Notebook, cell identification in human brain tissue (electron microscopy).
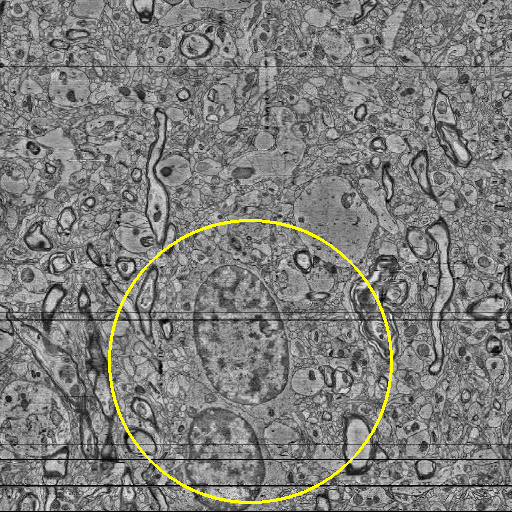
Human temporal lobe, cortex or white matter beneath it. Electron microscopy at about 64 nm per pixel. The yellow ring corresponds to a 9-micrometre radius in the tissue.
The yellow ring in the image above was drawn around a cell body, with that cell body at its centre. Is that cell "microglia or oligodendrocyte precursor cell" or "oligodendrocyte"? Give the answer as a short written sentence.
The cell in the ring is an oligodendrocyte.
